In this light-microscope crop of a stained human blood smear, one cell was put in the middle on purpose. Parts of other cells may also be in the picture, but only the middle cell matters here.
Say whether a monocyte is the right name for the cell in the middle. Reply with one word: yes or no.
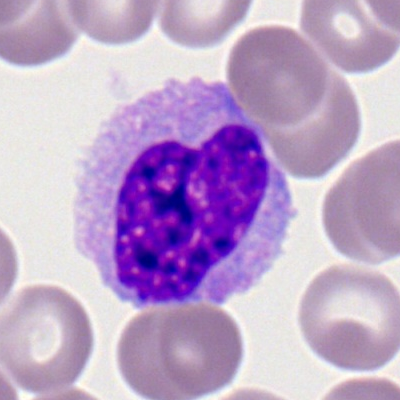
yes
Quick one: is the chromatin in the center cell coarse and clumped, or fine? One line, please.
Thanks for asking; the chromatin is coarsely clumped.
